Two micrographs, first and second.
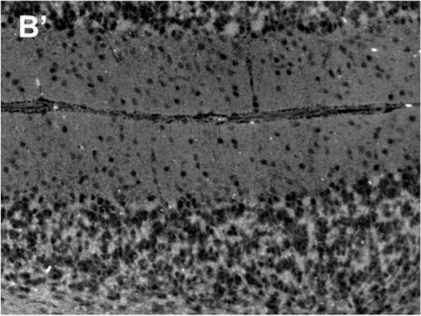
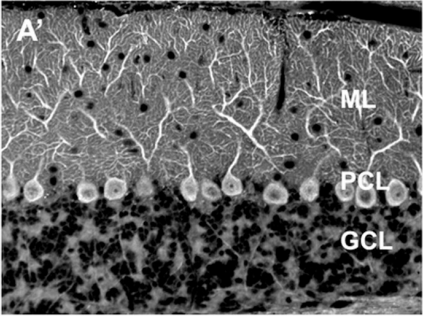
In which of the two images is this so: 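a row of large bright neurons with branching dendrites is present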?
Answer: The second image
